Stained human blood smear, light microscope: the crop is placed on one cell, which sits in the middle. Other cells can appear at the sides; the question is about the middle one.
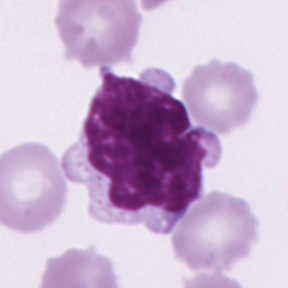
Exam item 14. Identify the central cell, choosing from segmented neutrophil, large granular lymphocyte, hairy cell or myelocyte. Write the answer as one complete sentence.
Where the crop is centred, there is a large granular lymphocyte.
